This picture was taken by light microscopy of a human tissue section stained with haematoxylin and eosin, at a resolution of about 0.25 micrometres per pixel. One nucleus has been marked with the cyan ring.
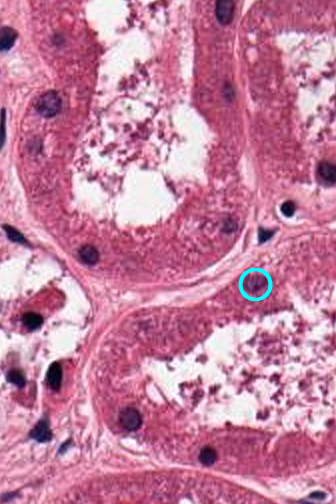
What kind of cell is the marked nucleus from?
proximal tubule cell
